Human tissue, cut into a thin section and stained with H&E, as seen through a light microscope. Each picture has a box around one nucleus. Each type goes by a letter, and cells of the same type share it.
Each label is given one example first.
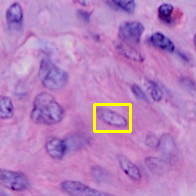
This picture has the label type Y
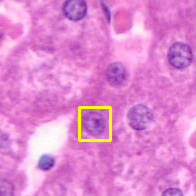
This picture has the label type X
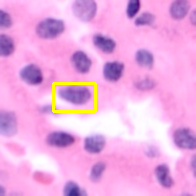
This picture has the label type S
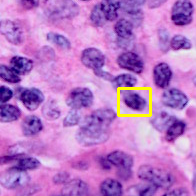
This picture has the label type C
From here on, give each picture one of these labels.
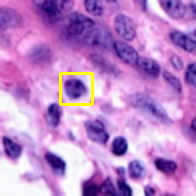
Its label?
type C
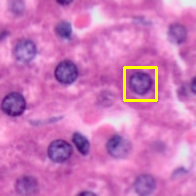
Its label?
type X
